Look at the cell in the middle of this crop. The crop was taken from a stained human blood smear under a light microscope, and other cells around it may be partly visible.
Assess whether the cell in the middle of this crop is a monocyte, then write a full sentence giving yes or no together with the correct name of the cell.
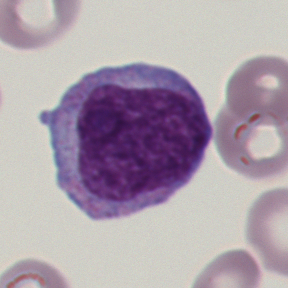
No, the cell in the centre is to be called an atypical promyelocyte instead of a monocyte.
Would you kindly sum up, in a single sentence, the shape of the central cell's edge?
This cell has an uneven outline, either ragged or bearing projections.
